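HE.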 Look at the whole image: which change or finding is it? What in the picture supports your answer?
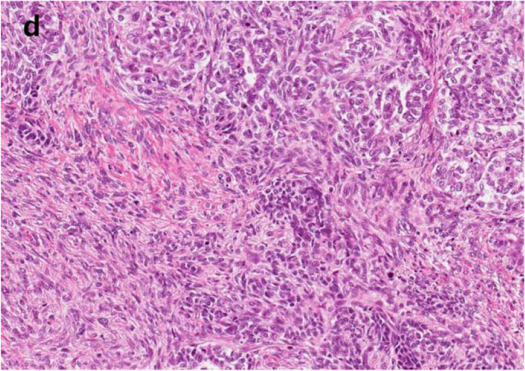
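Transition from epithelial to sarcomatous components. At the right, cells form rounded nests. At the left, cells are spindle-shaped and arranged in streaming fascicles.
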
